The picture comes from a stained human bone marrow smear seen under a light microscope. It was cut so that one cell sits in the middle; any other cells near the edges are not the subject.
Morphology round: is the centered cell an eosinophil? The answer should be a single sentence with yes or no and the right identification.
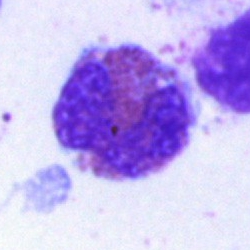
Yes, the centered cell in this field is an eosinophil.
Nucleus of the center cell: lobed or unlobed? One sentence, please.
This cell has a nucleus made up of two or more segments.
